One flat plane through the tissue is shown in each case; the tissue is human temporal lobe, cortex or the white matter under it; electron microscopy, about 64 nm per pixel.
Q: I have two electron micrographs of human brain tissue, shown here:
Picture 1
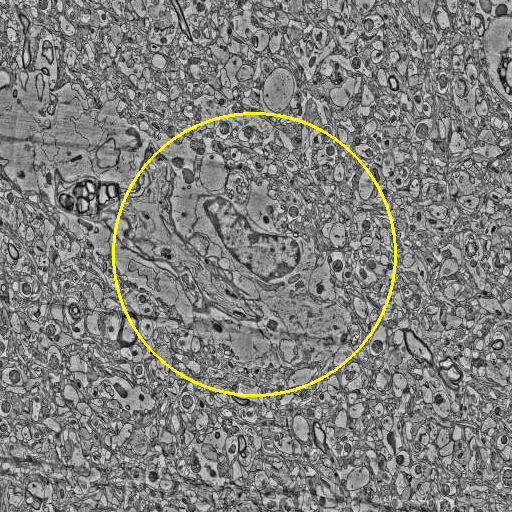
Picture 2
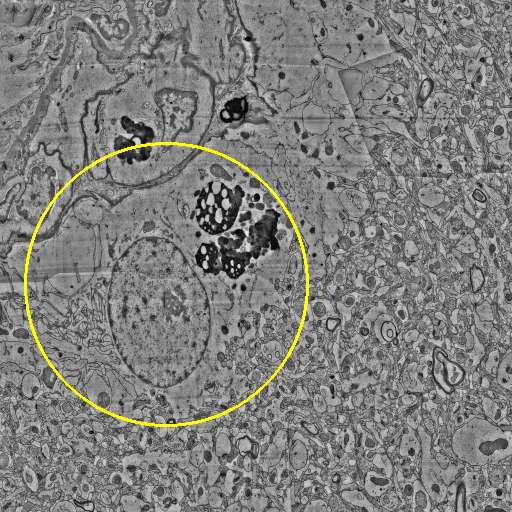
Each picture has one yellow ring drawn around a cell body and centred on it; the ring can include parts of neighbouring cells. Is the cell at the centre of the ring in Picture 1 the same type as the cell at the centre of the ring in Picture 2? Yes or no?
yes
